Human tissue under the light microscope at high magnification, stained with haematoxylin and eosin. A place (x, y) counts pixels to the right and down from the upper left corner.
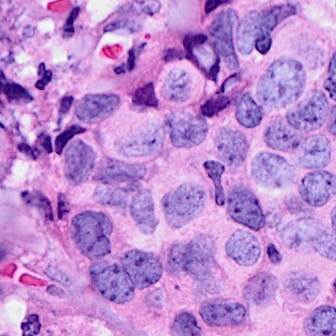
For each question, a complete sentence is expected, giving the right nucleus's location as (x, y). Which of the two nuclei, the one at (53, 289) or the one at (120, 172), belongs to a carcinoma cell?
The nucleus that belongs to a carcinoma cell sits at (120, 172).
